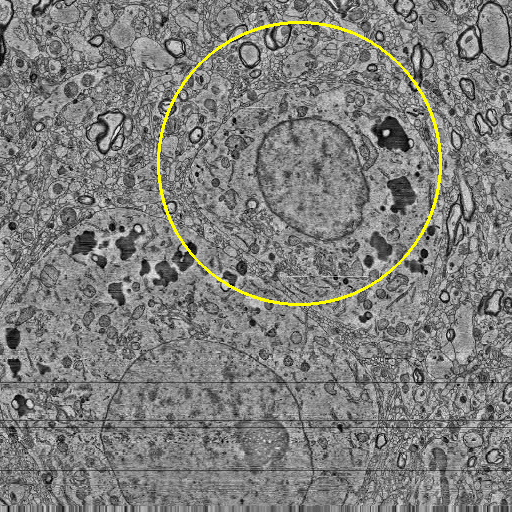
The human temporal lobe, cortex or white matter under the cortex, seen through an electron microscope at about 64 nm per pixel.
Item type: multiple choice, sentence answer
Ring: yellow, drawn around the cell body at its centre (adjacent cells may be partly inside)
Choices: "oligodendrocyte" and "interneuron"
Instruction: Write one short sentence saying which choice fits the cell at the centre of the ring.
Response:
This ring is drawn around an interneuron.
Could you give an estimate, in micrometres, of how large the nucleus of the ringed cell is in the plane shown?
Roughly 9 micrometres by 7 micrometres, in this plane.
